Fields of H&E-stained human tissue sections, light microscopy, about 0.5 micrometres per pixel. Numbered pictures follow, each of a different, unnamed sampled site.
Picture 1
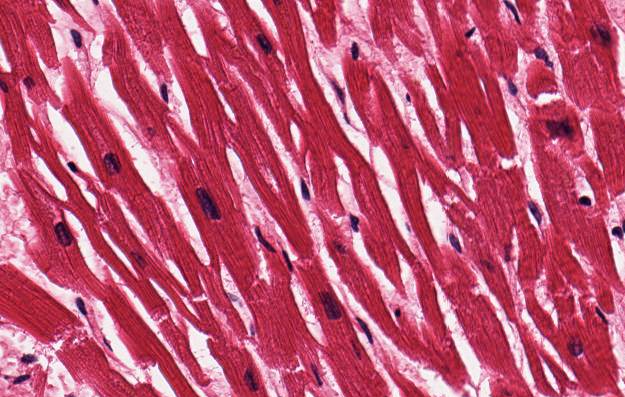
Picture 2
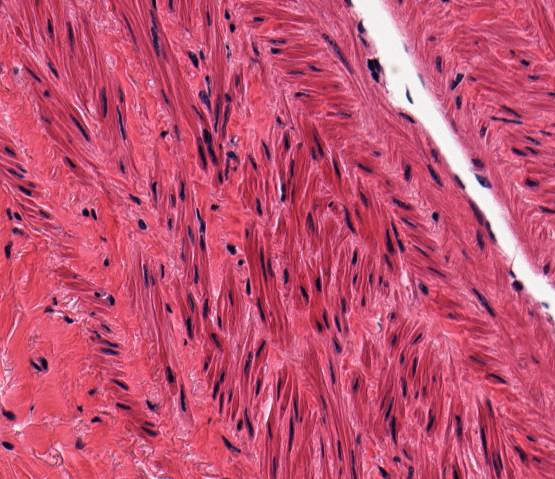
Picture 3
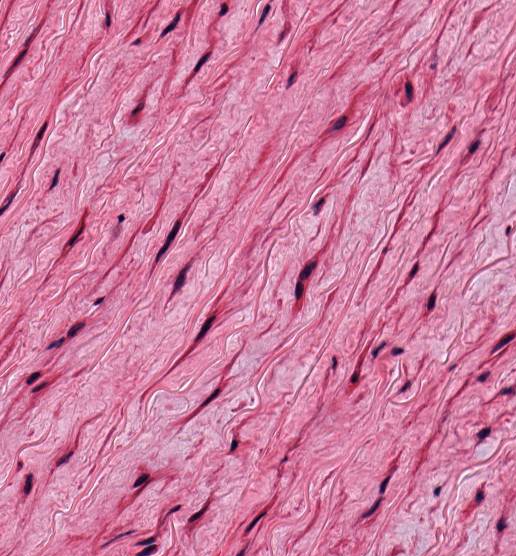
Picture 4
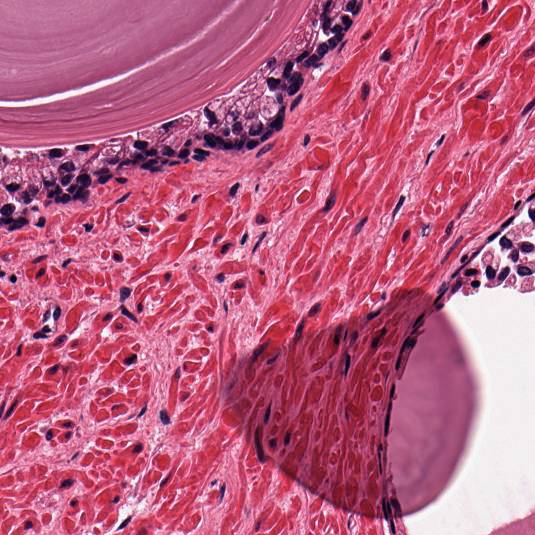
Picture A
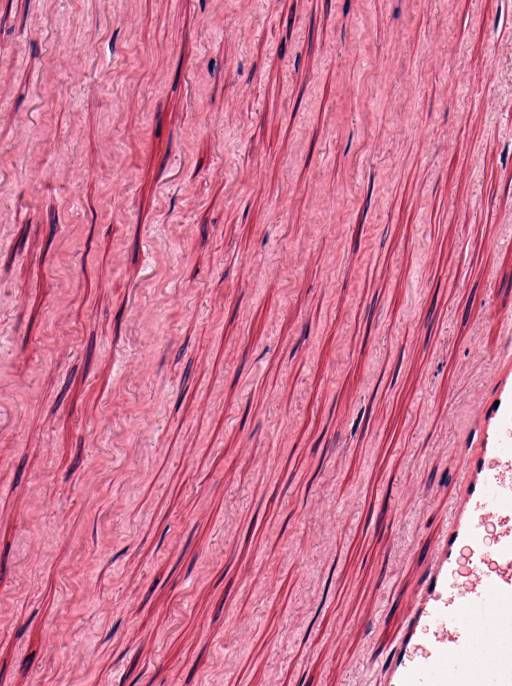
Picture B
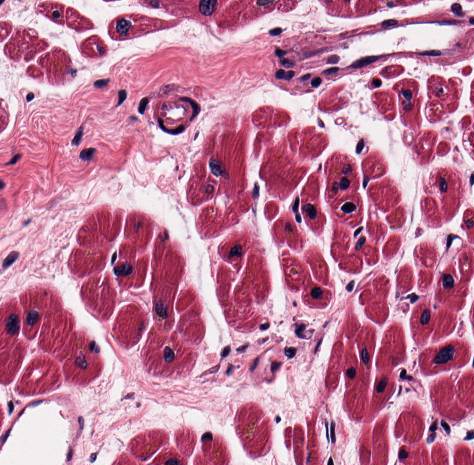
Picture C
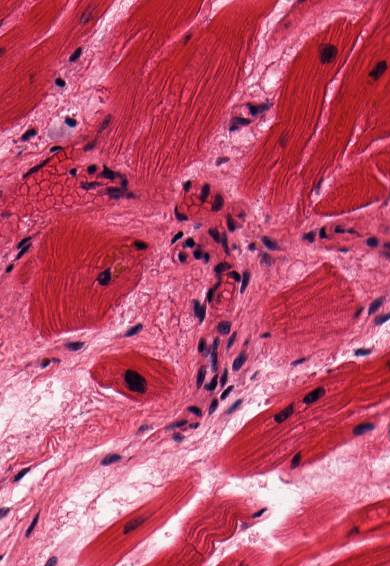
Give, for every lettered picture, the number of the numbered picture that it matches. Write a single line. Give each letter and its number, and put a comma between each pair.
A 2, B 1, C 1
